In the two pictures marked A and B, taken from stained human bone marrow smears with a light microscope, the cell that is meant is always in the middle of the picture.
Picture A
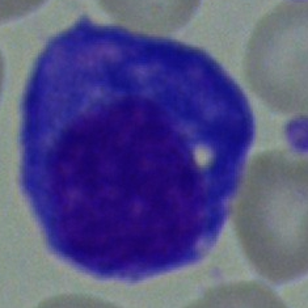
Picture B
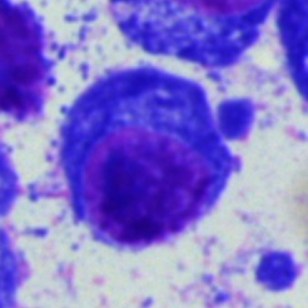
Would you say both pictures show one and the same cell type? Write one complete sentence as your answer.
Yes, both cells are plasma cells.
